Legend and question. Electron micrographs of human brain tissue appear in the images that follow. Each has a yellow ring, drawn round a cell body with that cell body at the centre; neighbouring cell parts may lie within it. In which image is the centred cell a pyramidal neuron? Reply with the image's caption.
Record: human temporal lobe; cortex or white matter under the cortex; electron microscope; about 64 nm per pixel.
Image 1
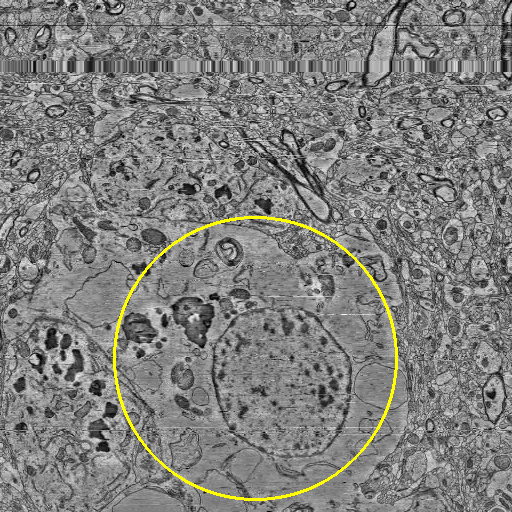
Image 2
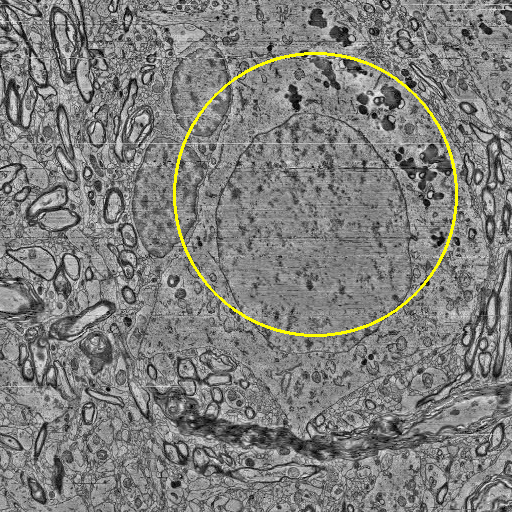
Image 2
